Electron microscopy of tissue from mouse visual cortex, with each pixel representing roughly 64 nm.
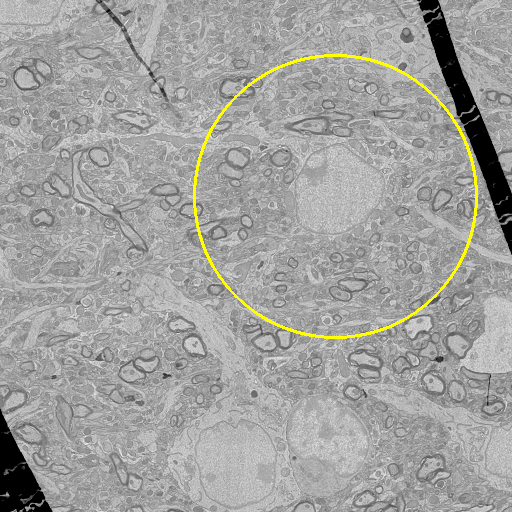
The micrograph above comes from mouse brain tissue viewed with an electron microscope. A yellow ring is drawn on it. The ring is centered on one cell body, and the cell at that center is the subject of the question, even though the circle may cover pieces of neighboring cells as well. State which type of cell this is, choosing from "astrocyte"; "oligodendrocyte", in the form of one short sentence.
The cell the ring is centered on is an astrocyte.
